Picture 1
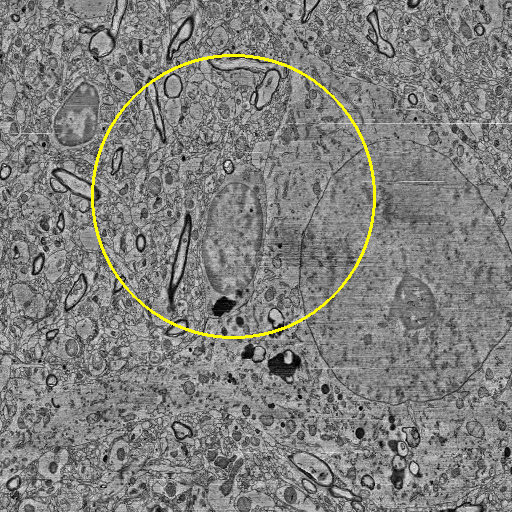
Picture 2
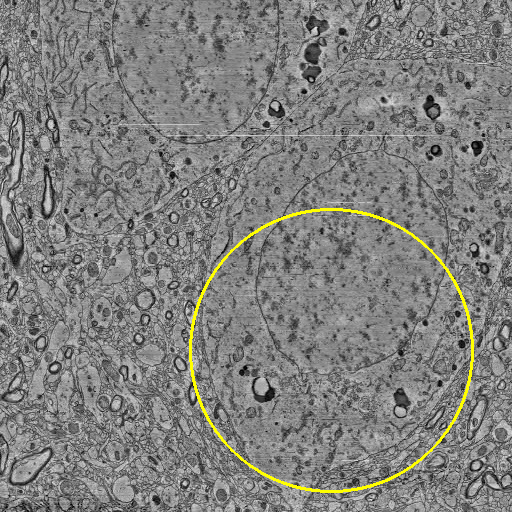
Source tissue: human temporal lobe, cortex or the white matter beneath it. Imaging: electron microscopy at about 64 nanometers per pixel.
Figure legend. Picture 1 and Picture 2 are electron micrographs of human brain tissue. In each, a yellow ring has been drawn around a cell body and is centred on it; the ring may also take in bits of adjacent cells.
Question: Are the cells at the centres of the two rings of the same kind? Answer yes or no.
no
